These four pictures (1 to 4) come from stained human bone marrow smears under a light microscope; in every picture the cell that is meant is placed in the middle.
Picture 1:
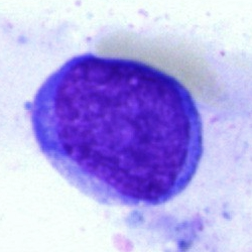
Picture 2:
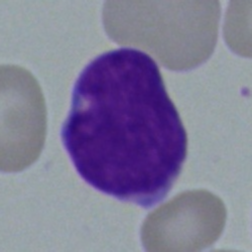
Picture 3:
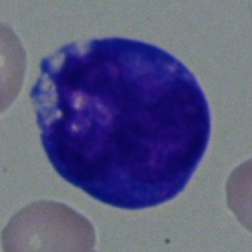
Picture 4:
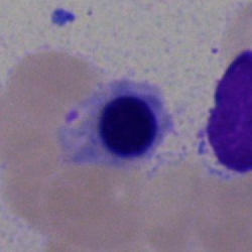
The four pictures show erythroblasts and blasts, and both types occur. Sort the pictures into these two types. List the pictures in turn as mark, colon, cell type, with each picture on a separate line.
1: blast
2: blast
3: blast
4: erythroblast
